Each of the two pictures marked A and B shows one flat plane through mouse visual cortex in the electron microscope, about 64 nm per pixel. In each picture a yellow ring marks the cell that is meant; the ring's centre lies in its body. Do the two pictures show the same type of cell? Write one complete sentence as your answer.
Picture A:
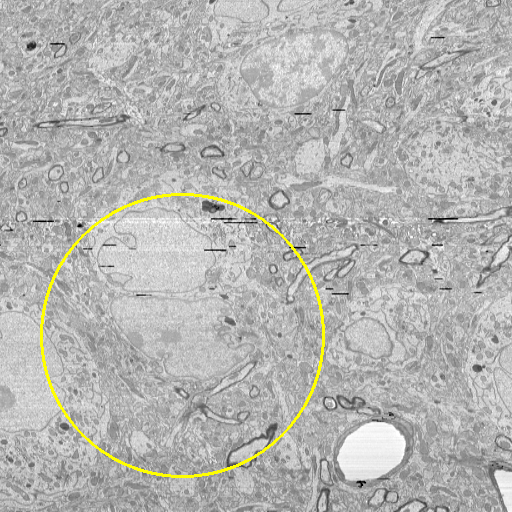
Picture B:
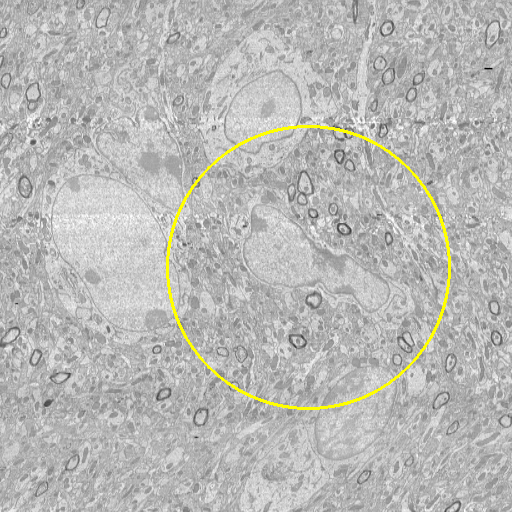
Yes, both cells are oligodendrocyte precursor cells.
